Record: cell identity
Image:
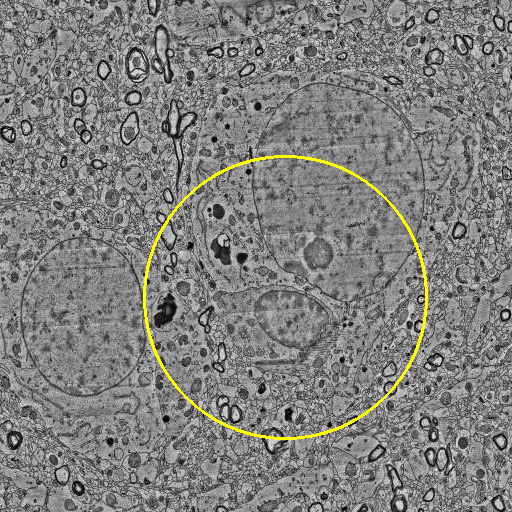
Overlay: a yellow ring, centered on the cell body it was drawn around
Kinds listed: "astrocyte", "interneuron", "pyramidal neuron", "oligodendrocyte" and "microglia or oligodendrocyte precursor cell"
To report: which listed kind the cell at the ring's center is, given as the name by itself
oligodendrocyte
